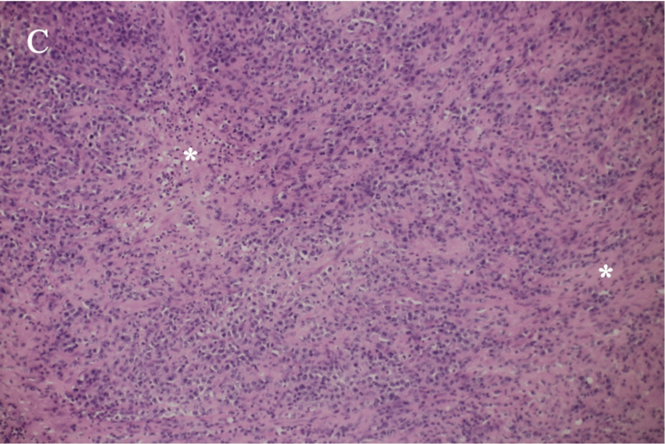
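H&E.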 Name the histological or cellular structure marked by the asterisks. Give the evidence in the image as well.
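Fibrous components. The areas at the asterisks are pale pink and streaky. Fewer nuclei lie in these areas than around them.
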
